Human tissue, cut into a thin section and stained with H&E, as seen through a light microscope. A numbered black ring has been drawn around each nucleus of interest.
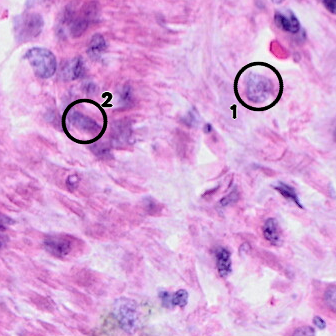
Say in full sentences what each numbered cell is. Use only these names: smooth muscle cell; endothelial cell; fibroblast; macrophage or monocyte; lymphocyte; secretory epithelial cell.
Cell 1 is an endothelial cell. Cell 2 is a fibroblast.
